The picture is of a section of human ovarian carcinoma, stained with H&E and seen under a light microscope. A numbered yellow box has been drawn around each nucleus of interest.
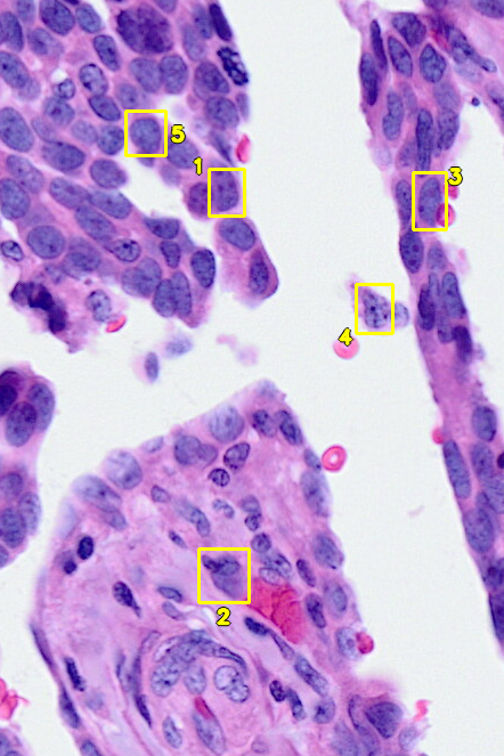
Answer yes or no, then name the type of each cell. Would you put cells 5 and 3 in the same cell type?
Yes, cell 5 is one of the carcinoma cells, and so is cell 3.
